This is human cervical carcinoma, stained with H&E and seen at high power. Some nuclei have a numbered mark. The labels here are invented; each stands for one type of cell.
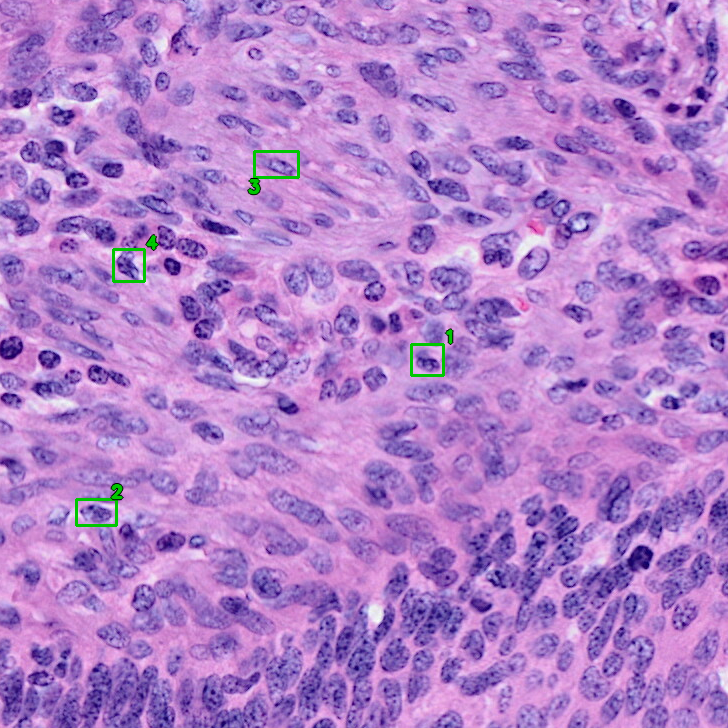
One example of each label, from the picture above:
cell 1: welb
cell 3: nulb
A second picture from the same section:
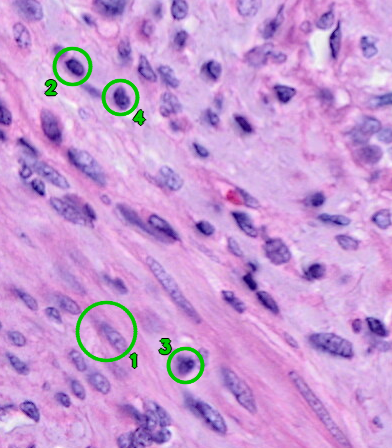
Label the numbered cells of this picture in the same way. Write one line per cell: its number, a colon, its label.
1: nulb
2: welb
3: welb
4: welb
